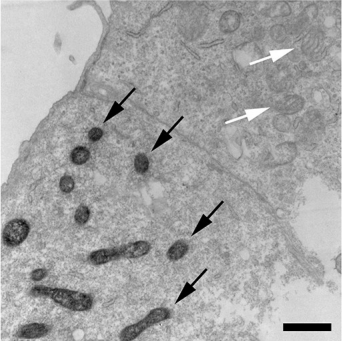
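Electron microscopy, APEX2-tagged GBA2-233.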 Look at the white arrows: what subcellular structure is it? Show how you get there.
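Mitochondria. Pale oval organelles with inner folded membranes. They are much lighter than the dark organelles elsewhere in the panel.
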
